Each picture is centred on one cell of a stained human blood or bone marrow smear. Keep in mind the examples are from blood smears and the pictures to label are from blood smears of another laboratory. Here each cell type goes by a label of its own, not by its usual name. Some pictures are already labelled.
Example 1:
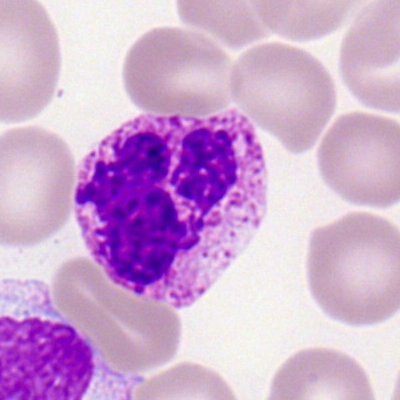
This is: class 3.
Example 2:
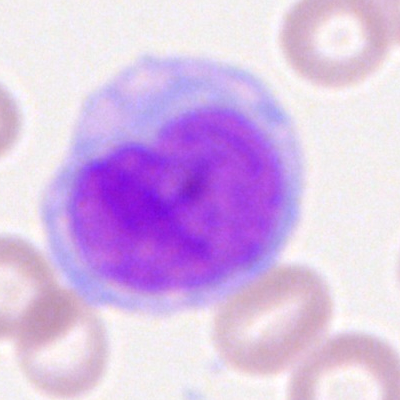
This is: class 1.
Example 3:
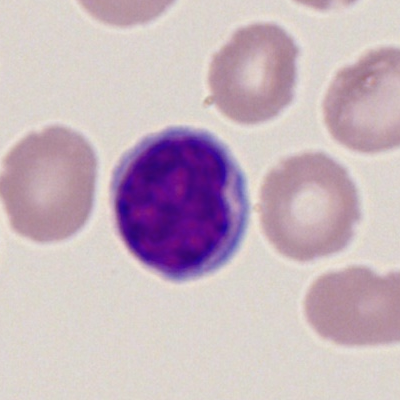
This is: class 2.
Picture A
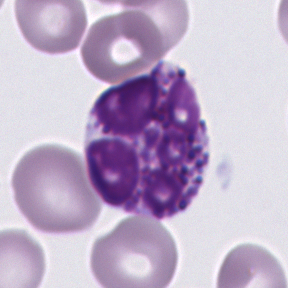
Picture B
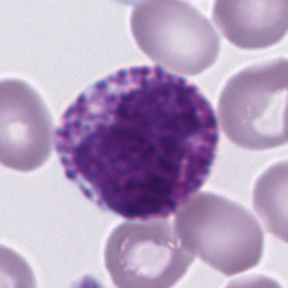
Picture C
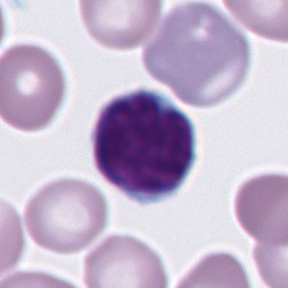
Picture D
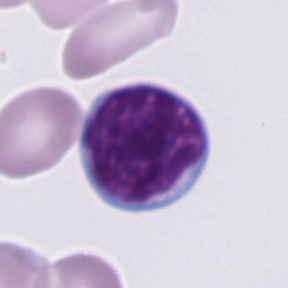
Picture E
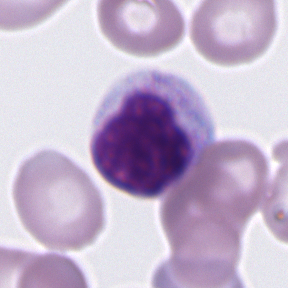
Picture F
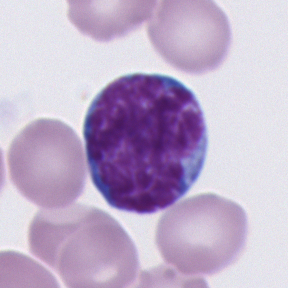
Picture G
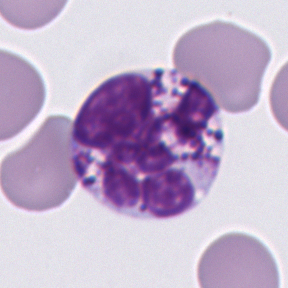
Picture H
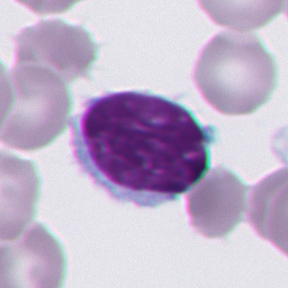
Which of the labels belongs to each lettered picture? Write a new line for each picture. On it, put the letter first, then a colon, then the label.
A: class 3.
B: class 3.
C: class 2.
D: class 2.
E: class 2.
F: class 2.
G: class 3.
H: class 2.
